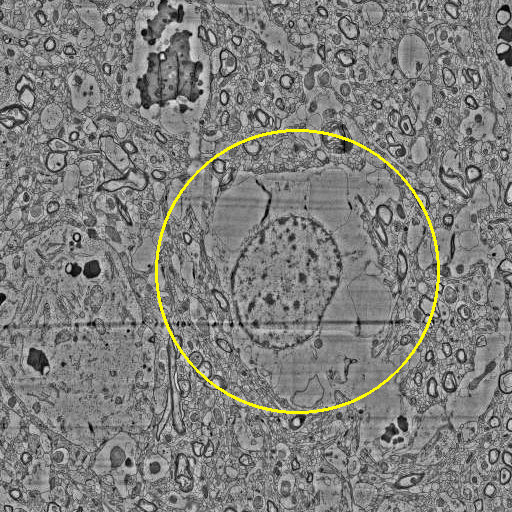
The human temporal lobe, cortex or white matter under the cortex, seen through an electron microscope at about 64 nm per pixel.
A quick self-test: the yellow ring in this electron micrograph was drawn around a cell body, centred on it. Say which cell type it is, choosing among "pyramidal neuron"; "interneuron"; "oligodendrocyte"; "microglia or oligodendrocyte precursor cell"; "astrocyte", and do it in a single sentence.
The yellow-ringed cell is an astrocyte.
